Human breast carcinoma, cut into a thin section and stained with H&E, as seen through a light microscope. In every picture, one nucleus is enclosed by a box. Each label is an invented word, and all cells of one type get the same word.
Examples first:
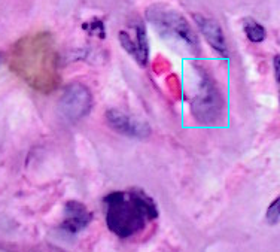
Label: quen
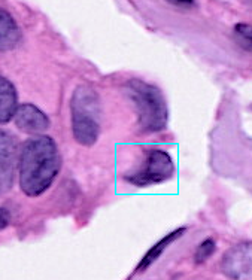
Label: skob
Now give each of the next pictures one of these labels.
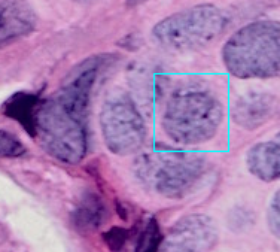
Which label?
skob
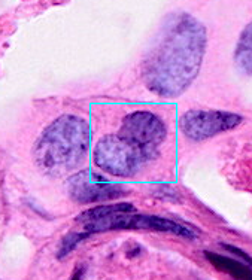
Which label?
skob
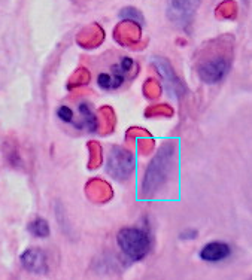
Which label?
quen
